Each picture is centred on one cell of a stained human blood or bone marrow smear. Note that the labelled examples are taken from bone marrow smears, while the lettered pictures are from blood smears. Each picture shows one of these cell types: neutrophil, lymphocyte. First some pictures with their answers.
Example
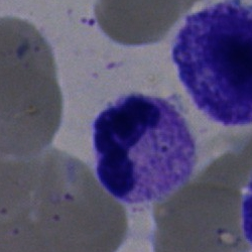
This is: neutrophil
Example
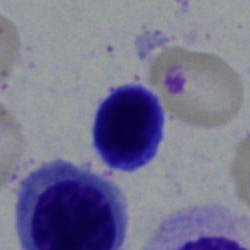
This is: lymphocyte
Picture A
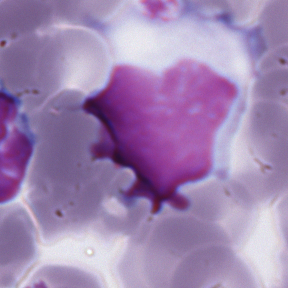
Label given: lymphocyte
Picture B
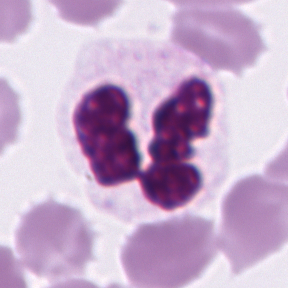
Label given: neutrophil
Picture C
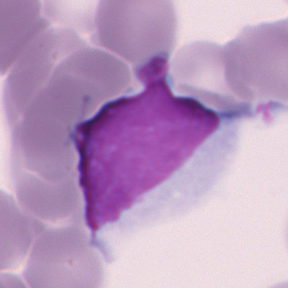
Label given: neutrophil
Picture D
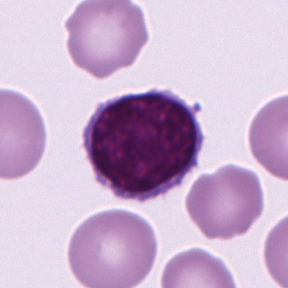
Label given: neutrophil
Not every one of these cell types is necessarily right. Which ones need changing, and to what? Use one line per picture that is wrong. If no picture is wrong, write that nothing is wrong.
C: lymphocyte, not neutrophil
D: lymphocyte, not neutrophil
